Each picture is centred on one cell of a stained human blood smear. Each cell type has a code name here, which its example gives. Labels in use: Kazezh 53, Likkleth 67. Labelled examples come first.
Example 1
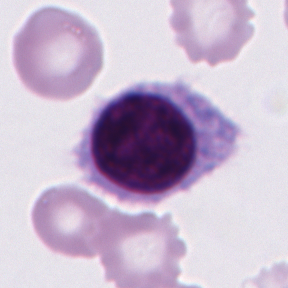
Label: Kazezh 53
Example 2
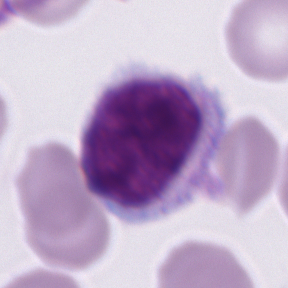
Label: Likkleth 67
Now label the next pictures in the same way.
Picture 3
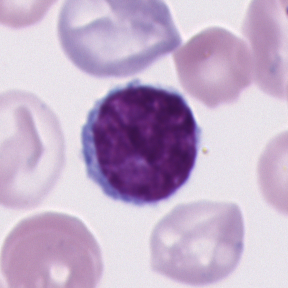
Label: Likkleth 67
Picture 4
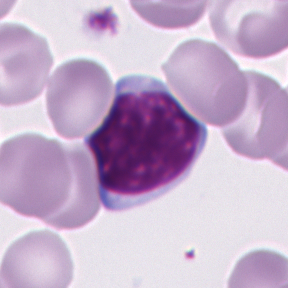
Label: Likkleth 67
